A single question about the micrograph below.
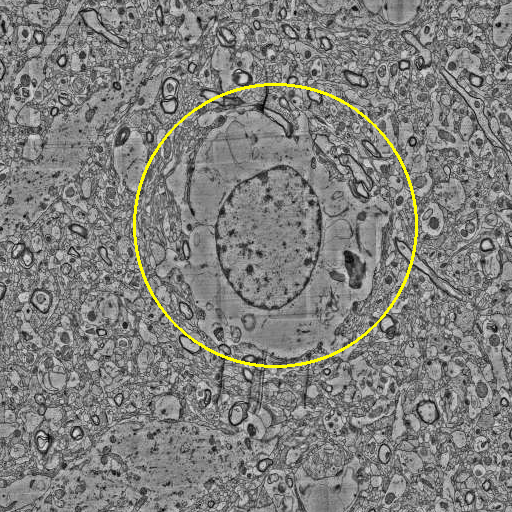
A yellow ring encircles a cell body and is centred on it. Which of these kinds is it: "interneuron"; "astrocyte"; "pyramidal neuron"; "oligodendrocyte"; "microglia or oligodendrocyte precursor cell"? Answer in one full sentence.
The cell body at the centre of the yellow ring belongs to an astrocyte.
